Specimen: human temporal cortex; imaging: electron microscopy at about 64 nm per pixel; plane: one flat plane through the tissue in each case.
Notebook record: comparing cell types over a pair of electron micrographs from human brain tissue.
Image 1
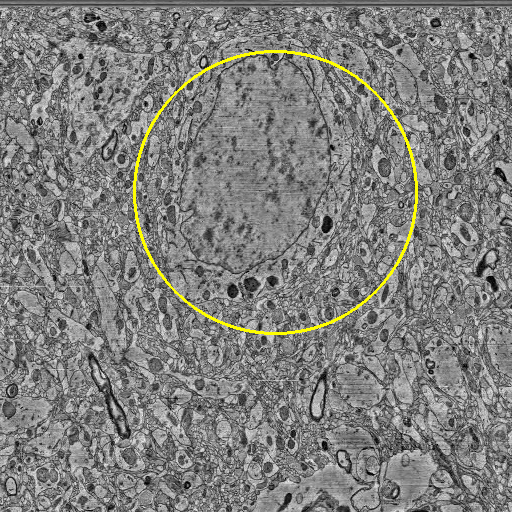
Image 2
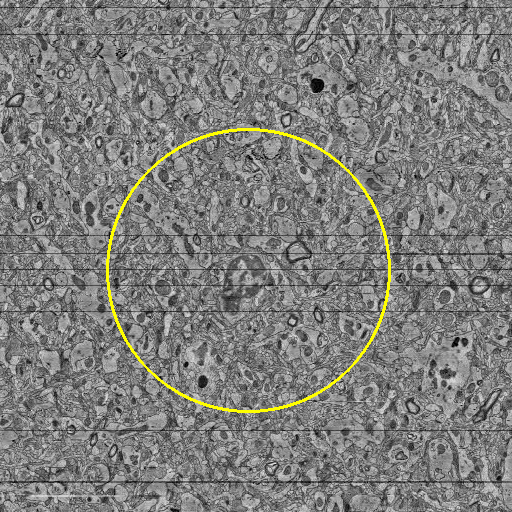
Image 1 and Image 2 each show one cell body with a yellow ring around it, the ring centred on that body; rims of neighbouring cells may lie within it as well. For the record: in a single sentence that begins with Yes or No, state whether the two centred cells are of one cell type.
No, two cell types are found among the centred cells of Image 1 and Image 2.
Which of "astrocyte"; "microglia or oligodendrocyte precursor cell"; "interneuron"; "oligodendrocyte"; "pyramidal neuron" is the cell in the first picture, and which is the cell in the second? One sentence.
The two differ: the first cell is a pyramidal neuron and the second is a microglial cell or oligodendrocyte precursor cell.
